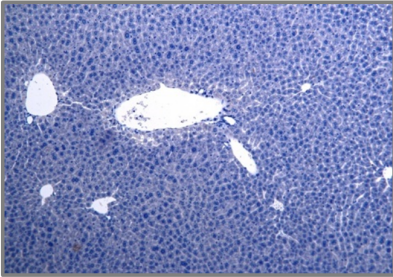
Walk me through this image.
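This is liver parenchyma made of hepatocytes, seen at low power. The cells form a continuous field of closely packed polygonal cells with round blue nuclei, interrupted by several open vessel lumens of varying size.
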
